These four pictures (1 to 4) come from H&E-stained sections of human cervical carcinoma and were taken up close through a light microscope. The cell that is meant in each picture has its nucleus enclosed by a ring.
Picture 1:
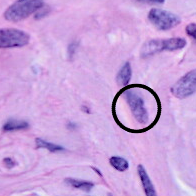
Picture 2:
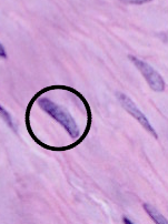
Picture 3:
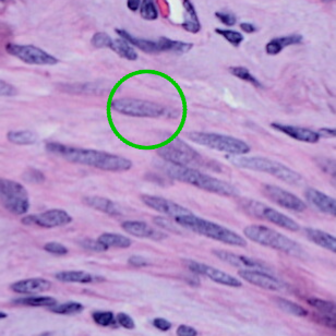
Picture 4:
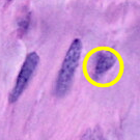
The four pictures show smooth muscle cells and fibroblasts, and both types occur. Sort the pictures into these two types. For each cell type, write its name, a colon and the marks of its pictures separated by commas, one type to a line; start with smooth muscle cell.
smooth muscle cell: 3
fibroblast: 1, 2, 4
